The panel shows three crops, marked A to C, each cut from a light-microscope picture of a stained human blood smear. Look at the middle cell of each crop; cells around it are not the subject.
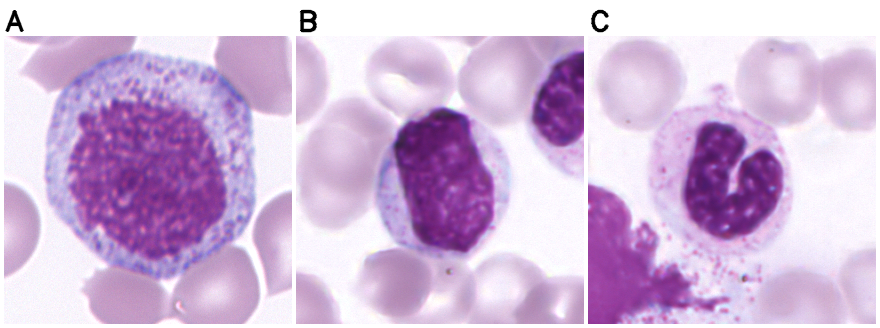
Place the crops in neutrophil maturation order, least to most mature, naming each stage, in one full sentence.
The series, from least to most mature, is crop A (a promyelocyte), crop B (a metamyelocyte) and crop C (a band neutrophil).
